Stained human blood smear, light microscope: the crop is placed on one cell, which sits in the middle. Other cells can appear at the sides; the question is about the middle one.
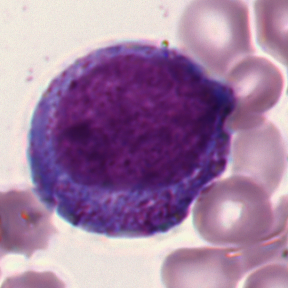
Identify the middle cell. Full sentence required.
The cell around which this crop is centred is a promyelocyte.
